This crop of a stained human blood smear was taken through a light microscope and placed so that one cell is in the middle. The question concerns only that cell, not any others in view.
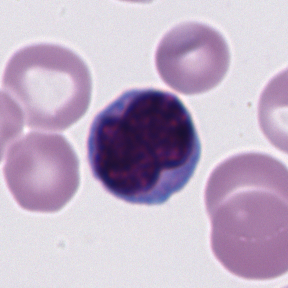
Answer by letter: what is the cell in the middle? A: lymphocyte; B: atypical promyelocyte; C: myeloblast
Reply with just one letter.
A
